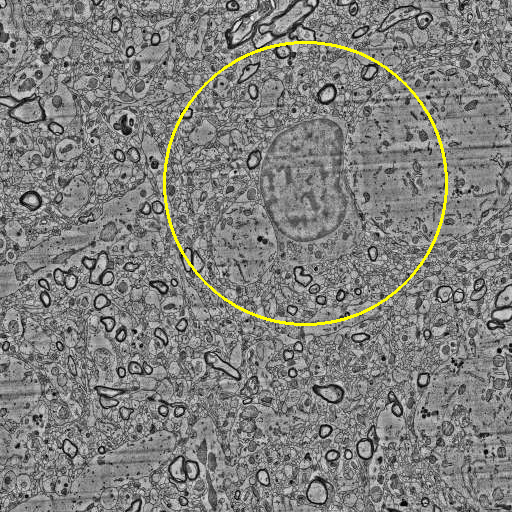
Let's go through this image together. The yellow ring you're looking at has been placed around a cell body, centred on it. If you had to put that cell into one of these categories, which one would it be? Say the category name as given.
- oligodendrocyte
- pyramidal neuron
oligodendrocyte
